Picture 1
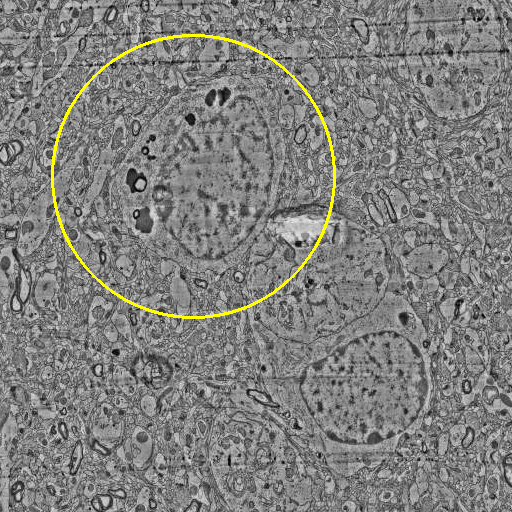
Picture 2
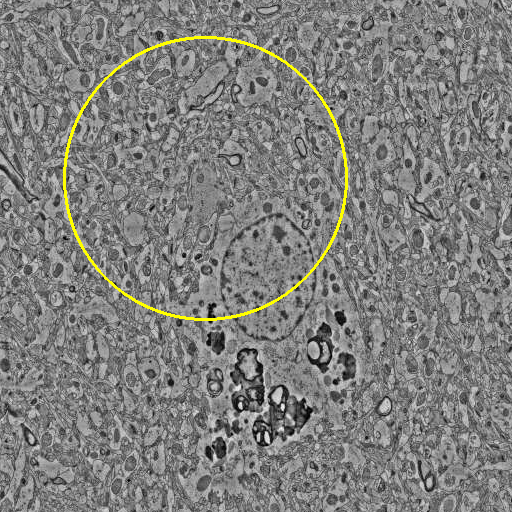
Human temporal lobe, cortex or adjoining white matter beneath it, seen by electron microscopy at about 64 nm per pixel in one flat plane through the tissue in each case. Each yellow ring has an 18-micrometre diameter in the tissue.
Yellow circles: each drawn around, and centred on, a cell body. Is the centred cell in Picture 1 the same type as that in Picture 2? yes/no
no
